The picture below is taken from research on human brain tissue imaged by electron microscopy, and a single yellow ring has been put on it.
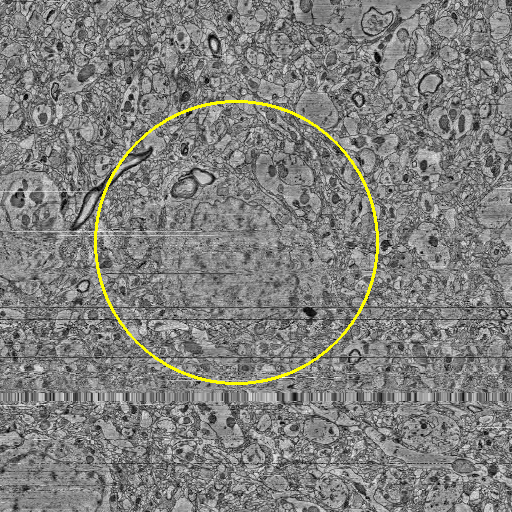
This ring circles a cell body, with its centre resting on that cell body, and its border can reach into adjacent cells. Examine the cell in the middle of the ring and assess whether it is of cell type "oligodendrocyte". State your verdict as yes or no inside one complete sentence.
No, in the picture, the cell lying at the centre of the ring is of a different type.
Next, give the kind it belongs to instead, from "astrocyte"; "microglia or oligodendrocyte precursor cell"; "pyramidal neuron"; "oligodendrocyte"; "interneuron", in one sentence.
Instead, the picture shows an interneuron at the centre of the ring.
